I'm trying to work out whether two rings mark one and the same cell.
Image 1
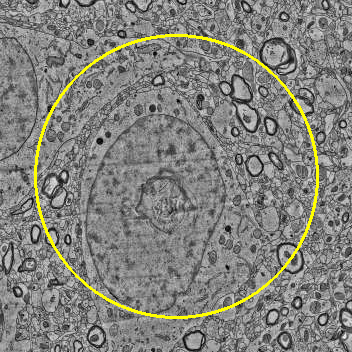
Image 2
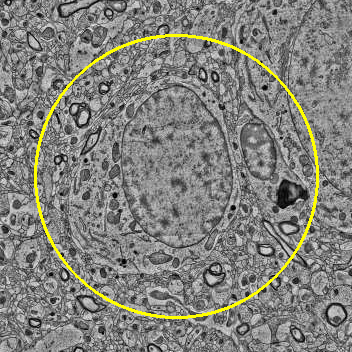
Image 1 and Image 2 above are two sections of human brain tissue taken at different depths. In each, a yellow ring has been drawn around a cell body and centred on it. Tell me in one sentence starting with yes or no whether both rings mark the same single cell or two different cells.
No, the two circled cells are distinct from one another.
